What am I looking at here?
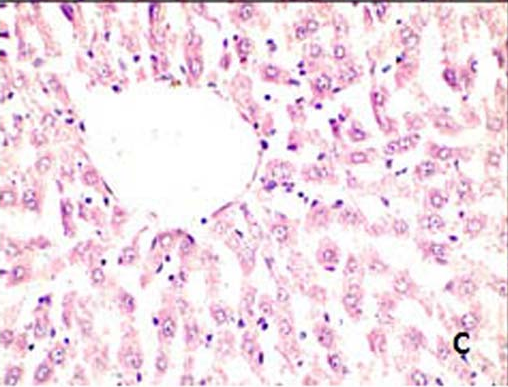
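A normal central vein of the liver surrounded by hepatocytes in their trabecular arrangement. The vein is a large round empty lumen with a thin lining. From it, plates of hepatocytes radiate outward, separated by narrow clear spaces. The hepatocytes are large polygonal cells with pale pink cytoplasm and round central nuclei with distinct nucleoli; some contain two nuclei. Small, dark, flattened nuclei lie along the spaces between the plates.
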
